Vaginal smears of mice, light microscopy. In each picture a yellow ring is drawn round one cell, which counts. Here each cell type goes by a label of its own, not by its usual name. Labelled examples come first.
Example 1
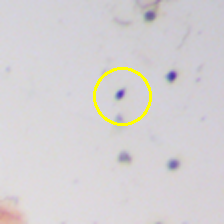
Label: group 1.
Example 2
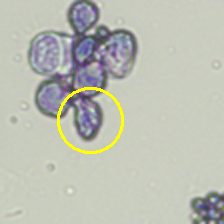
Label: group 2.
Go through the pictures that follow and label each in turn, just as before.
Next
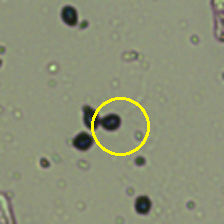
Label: group 1.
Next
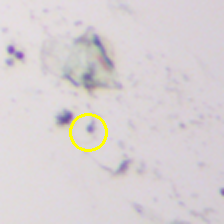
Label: group 1.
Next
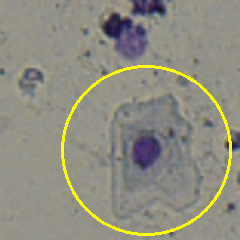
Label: group 2.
